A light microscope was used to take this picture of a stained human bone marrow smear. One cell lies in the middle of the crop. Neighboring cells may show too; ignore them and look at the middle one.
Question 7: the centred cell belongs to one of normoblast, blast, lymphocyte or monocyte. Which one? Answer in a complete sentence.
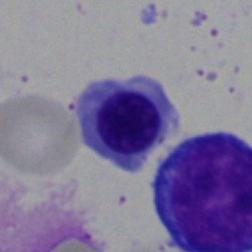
The target cell in the middle of the crop is a normoblast.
